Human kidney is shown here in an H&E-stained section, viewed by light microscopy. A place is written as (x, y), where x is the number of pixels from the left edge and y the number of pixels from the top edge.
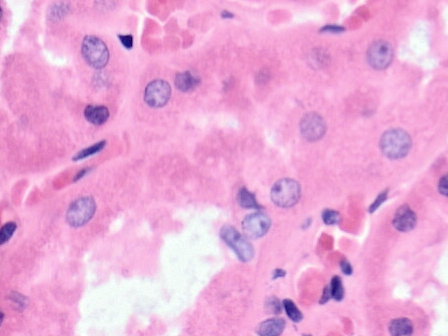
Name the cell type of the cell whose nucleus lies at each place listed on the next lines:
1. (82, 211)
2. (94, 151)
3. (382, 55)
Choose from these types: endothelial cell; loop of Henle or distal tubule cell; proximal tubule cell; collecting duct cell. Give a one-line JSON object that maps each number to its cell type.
{"1": "proximal tubule cell", "2": "endothelial cell", "3": "proximal tubule cell"}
